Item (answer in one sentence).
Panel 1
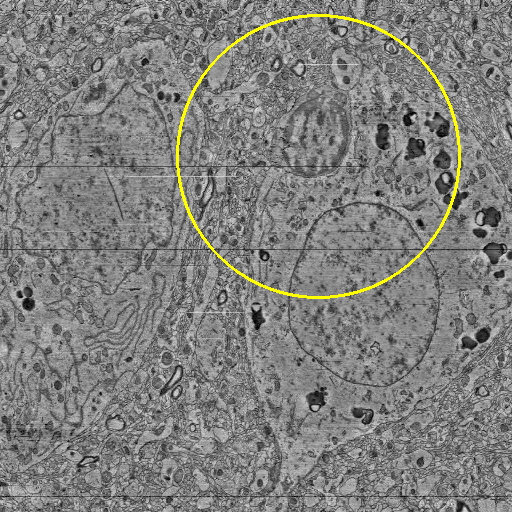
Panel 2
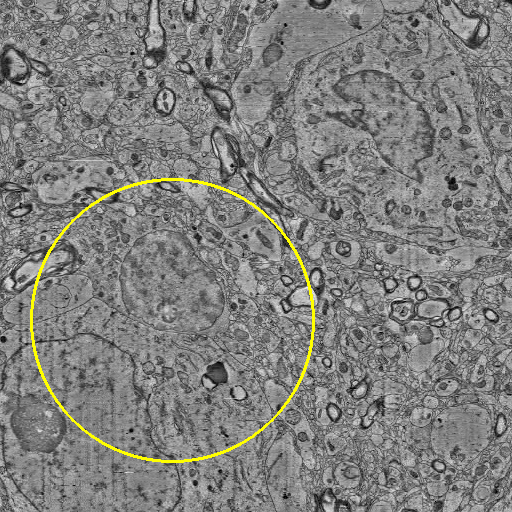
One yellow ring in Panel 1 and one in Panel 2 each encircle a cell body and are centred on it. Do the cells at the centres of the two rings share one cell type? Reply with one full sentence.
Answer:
Yes, Panel 1 and Panel 2 show cells of one type at the centres of their rings.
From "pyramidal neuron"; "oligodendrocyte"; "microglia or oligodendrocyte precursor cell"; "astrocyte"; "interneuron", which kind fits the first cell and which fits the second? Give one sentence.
The ring centre holds an oligodendrocyte in each of the two pictures.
